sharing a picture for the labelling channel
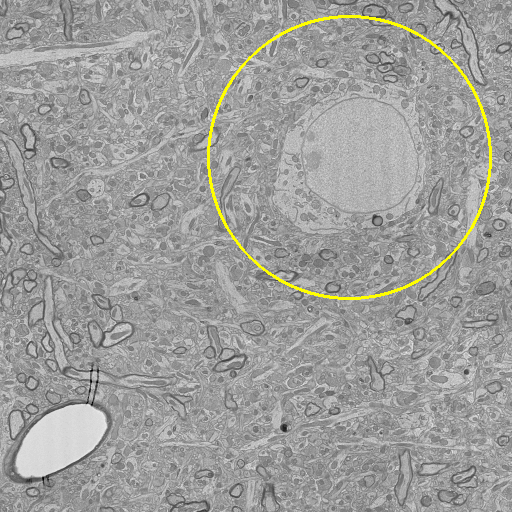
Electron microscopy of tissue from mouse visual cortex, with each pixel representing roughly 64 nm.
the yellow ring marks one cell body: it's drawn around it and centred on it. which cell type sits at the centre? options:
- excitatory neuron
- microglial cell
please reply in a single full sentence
In the picture, the cell at the ring's centre is an excitatory neuron, going by the list.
